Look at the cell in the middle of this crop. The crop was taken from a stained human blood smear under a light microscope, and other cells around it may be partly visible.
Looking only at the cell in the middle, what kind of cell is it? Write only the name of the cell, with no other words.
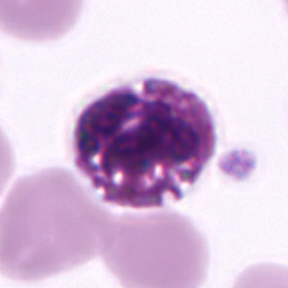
eosinophil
